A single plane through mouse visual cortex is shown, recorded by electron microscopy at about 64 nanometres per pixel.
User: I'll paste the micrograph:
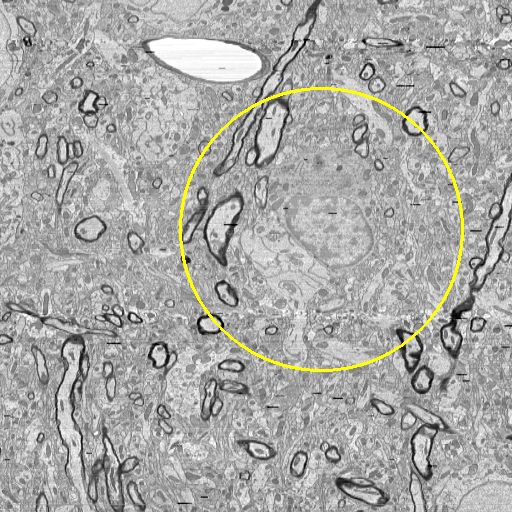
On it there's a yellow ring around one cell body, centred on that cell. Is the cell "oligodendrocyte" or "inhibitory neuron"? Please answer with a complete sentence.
The cell ringed in yellow is an oligodendrocyte.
